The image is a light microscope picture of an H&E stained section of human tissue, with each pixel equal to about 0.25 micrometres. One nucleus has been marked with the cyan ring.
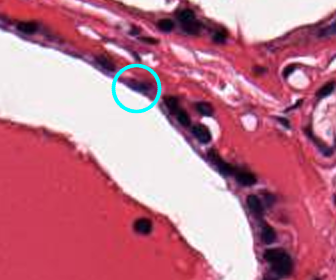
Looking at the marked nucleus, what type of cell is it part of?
thyroid follicular cell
